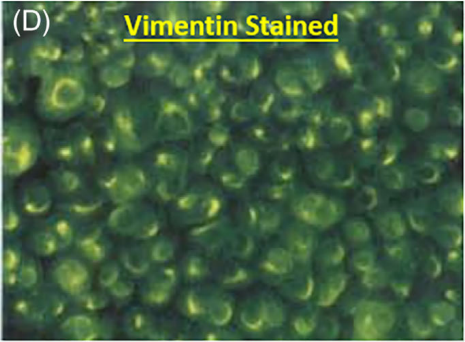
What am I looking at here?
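The cells are mostly rounded to oval and lie close together. In many cells a brighter yellow-green crescent or patch sits to one side of a darker central region where the nucleus lies. The brightness varies from cell to cell across the field.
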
